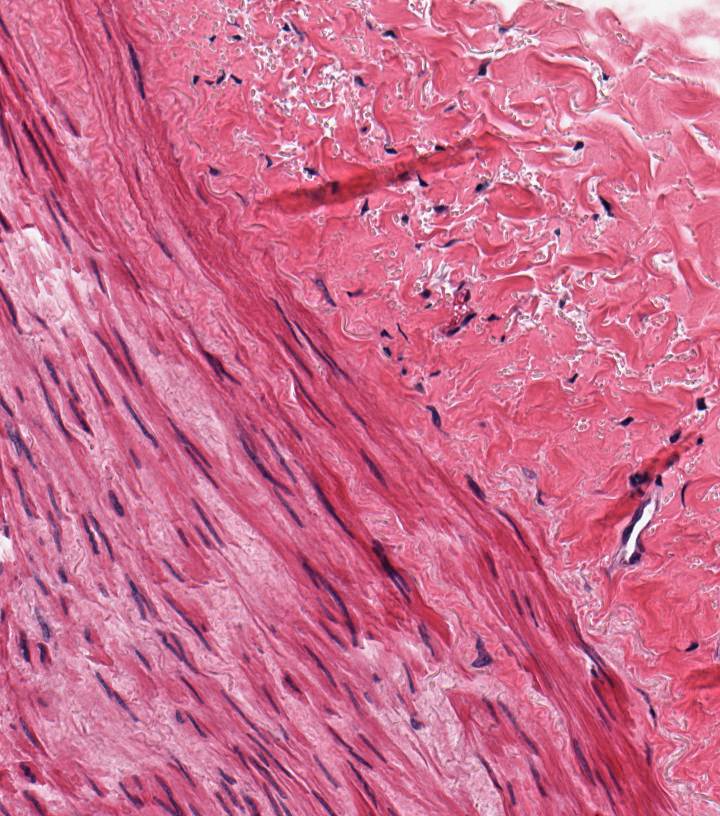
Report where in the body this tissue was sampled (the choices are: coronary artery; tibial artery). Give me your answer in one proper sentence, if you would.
The section was made from a sample of the tibial artery.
